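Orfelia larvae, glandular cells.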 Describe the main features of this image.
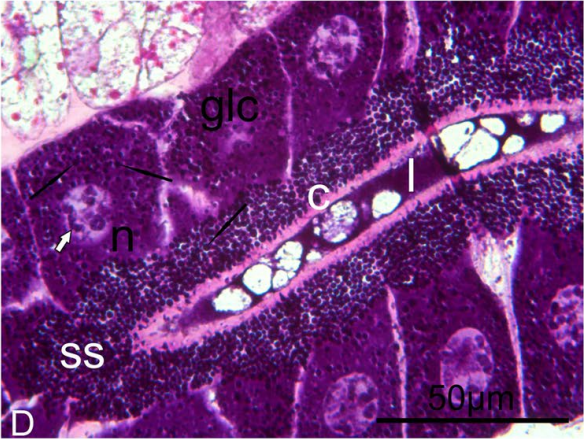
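Large secretory gland cells line a central, narrow lumen. Their cytoplasm is crowded with small, dark purple granules. Inside the nucleus lie coarse, darker, clumped chromosome strands typical of giant polytene chromosomes. The cell borders are faint lines between the dense cytoplasm of neighbouring cells.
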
